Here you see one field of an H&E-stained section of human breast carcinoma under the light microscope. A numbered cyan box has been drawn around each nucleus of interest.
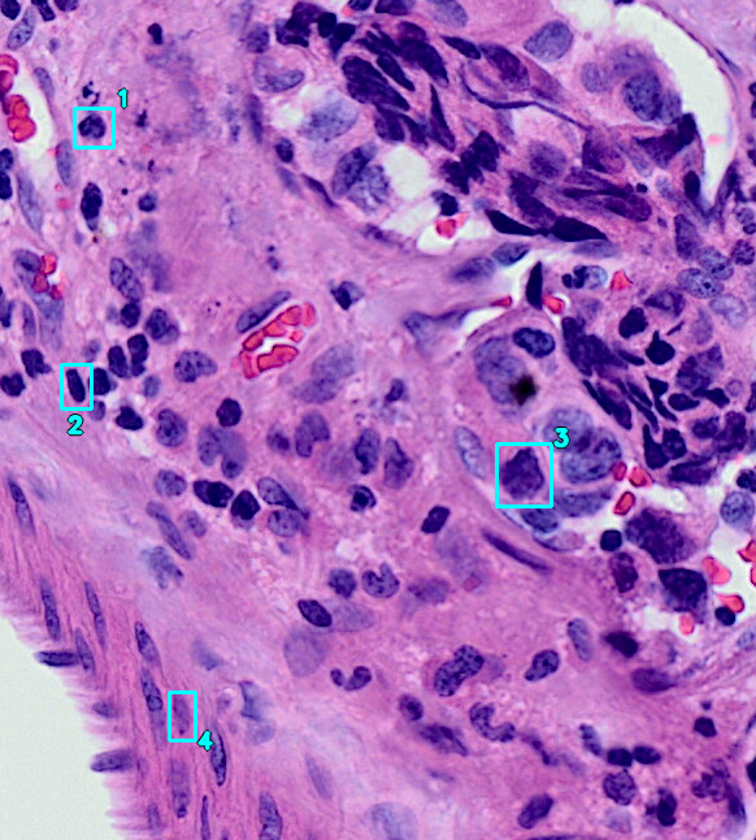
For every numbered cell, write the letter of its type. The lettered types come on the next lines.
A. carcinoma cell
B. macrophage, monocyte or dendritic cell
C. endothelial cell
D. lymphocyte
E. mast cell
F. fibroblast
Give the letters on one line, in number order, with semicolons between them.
D; D; A; C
